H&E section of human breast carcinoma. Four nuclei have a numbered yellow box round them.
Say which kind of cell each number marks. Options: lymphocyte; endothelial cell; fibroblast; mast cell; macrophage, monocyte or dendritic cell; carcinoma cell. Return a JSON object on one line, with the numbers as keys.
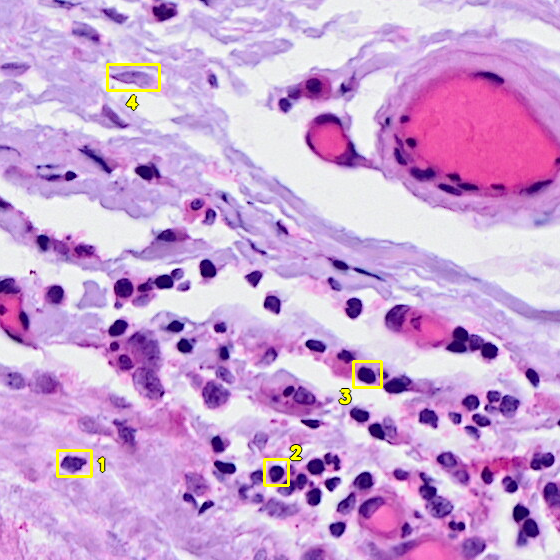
{"1": "lymphocyte", "2": "lymphocyte", "3": "lymphocyte", "4": "fibroblast"}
